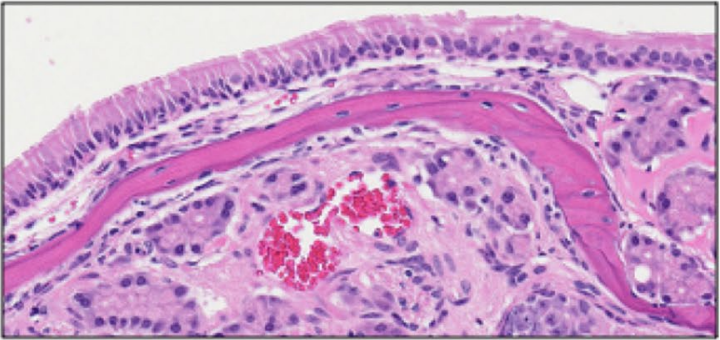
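This is nasal respiratory mucosa lined by a thin, orderly pseudostratified columnar epithelium with a fringe at its free surface. Beneath it a loose lamina propria with scattered cells overlies a curved, pink band of bone. Below the bone lie glands of pale, rounded cells and a vessel filled with red blood cells. Few inflammatory cells are seen.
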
